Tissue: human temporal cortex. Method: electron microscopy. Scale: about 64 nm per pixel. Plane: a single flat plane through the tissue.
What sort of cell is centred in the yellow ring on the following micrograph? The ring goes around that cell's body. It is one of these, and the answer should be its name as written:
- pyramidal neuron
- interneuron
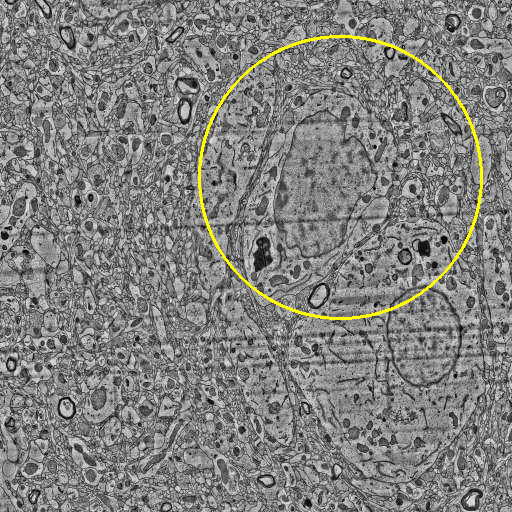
interneuron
